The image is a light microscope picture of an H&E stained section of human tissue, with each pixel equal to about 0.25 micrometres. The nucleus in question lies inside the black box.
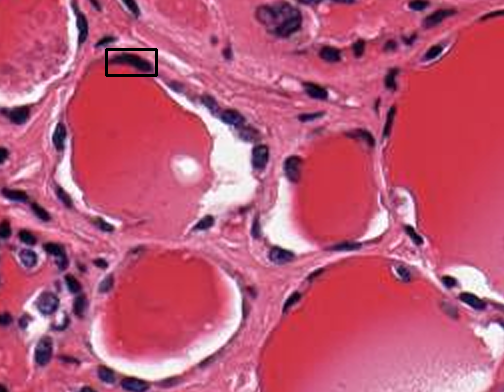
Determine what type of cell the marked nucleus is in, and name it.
thyroid follicular cell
